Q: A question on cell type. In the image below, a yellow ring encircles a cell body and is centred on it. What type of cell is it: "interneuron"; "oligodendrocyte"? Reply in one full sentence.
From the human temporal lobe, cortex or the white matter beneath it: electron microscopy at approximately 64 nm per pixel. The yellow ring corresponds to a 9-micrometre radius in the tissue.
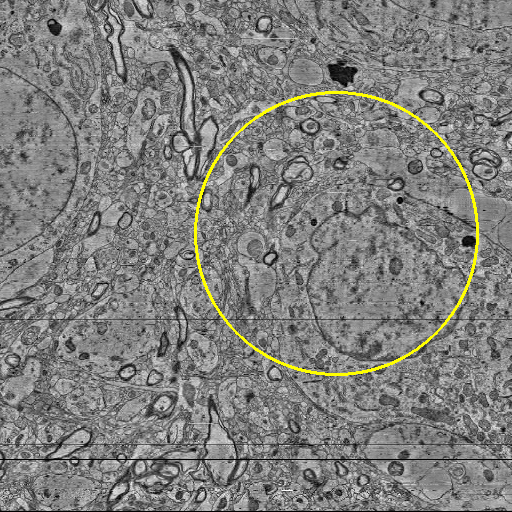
It is an interneuron whose cell body sits at the centre of the yellow ring in the image.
